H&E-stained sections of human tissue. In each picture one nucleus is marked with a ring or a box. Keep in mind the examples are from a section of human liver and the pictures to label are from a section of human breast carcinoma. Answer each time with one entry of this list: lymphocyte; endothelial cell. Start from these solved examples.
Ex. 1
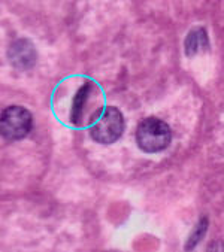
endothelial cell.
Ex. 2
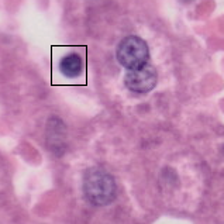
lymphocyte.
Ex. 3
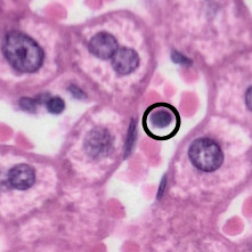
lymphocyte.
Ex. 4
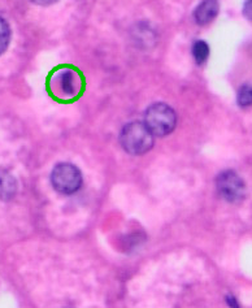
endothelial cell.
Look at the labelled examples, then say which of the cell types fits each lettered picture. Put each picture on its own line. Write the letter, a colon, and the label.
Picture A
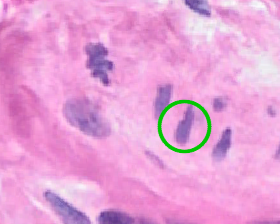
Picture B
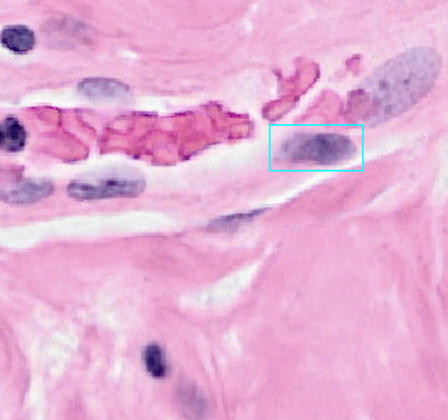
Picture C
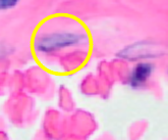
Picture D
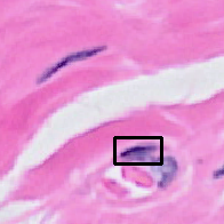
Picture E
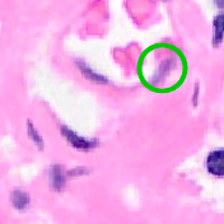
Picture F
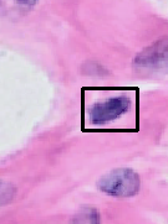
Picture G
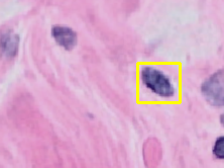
A: endothelial cell.
B: endothelial cell.
C: endothelial cell.
D: endothelial cell.
E: endothelial cell.
F: lymphocyte.
G: lymphocyte.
